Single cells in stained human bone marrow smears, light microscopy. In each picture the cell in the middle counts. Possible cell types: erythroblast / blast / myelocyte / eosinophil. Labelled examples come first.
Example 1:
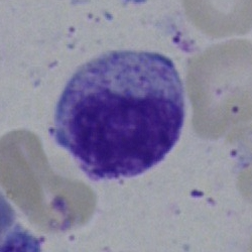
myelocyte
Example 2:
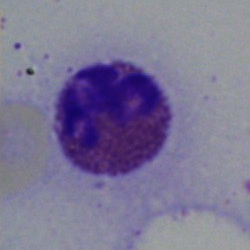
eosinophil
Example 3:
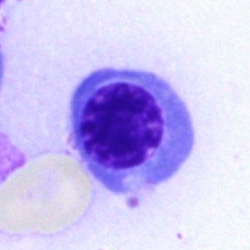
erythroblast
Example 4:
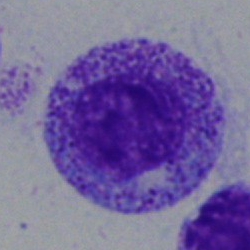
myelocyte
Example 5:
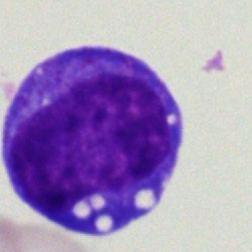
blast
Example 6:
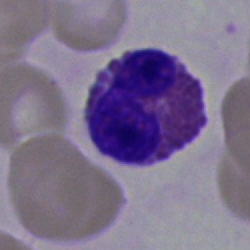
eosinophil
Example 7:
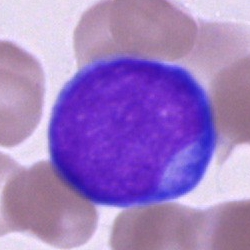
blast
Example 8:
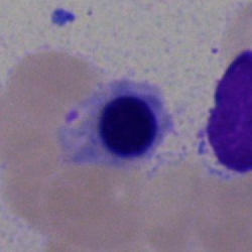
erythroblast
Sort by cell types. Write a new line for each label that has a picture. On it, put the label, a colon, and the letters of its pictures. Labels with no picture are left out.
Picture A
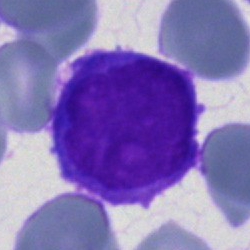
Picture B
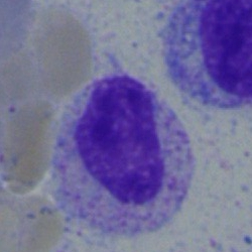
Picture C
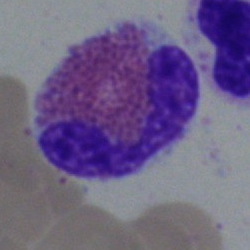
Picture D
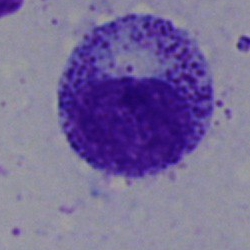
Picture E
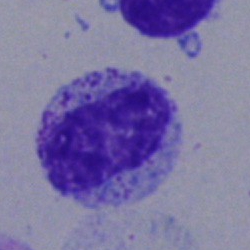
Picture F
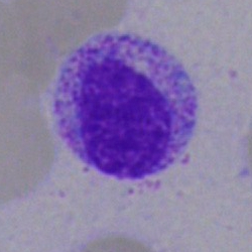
blast: A
myelocyte: B, D, E, F
eosinophil: C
